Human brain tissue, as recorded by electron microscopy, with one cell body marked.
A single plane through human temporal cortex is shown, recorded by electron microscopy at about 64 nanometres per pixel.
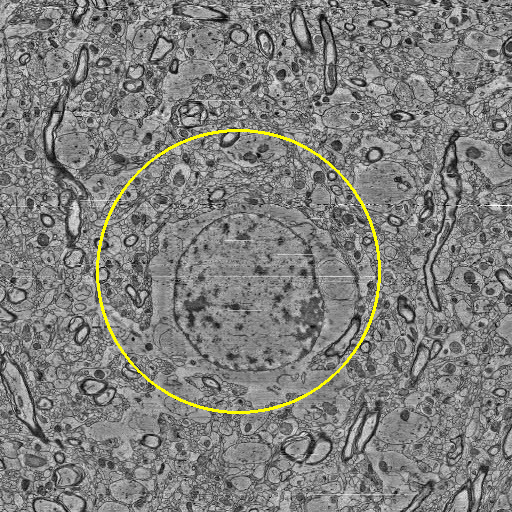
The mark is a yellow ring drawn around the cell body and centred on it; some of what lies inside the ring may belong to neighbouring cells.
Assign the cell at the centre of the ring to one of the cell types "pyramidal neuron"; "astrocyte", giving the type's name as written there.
astrocyte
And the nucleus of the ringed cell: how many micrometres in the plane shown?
In this plane, the nucleus of the cell at the centre of the ring is about 10 micrometres across.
